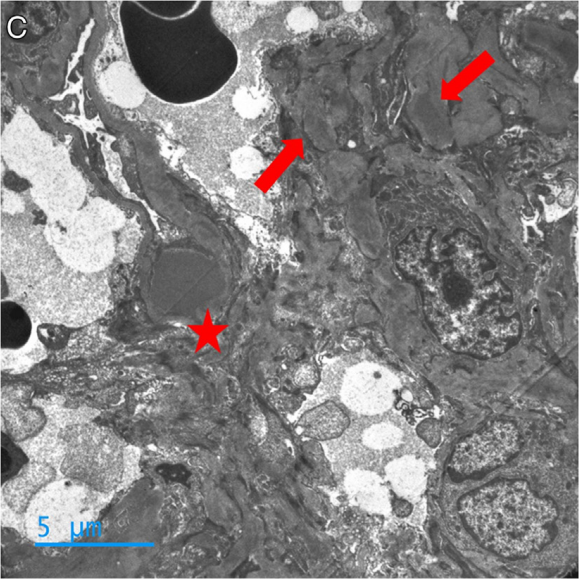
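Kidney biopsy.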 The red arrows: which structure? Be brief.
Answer: Subendothelial/paramesiangal dense deposits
